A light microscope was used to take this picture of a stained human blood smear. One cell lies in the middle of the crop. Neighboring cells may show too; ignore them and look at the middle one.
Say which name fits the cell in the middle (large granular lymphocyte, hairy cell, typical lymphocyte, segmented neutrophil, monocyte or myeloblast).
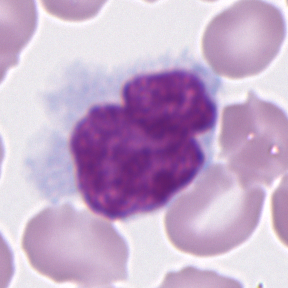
hairy cell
